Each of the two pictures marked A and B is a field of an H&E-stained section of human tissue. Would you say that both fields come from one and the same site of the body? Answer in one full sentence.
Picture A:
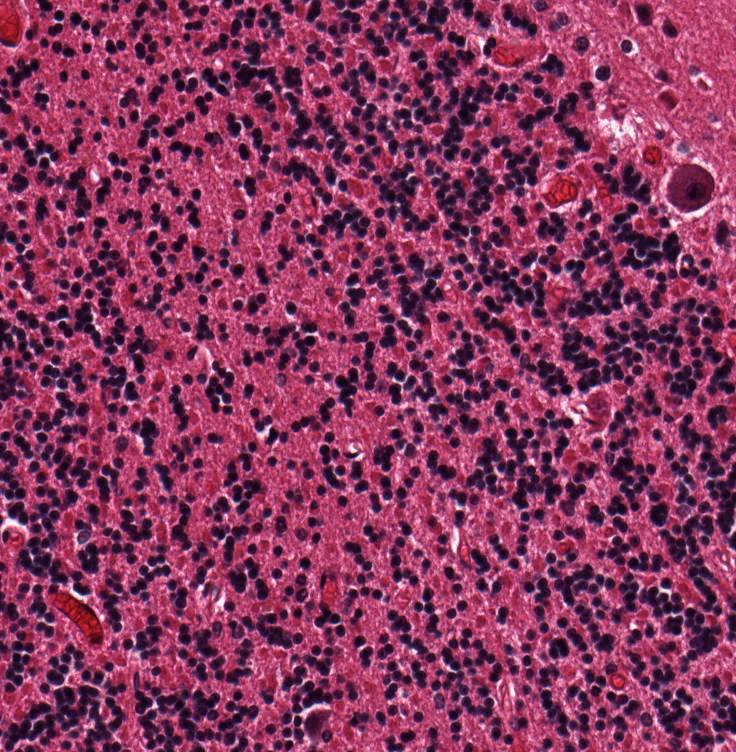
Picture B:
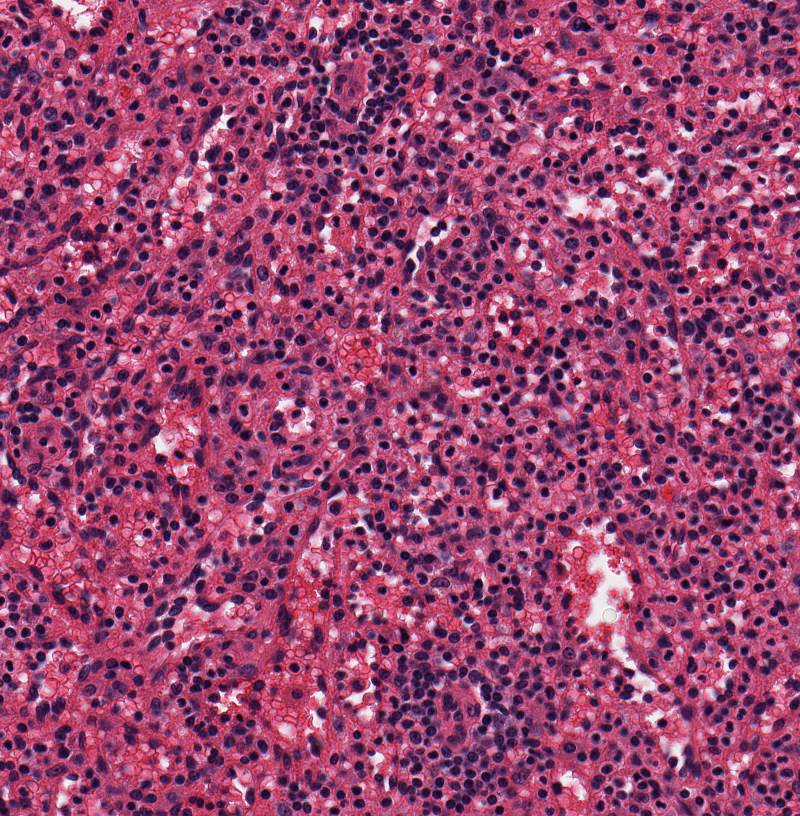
No, picture A comes from the cerebellum and picture B comes from the spleen.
